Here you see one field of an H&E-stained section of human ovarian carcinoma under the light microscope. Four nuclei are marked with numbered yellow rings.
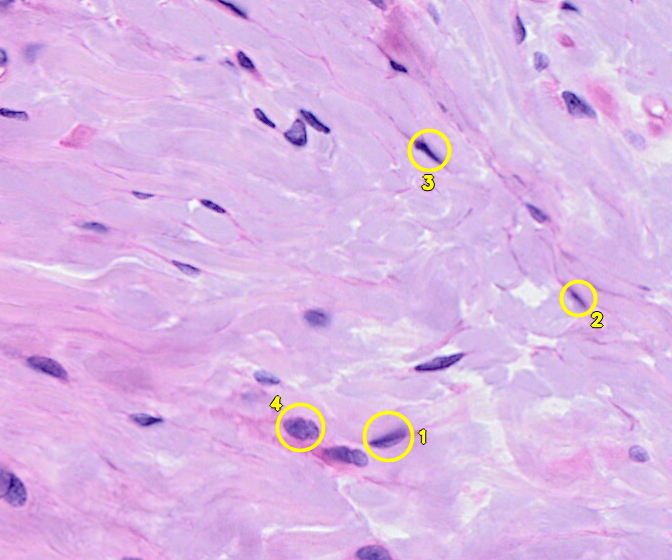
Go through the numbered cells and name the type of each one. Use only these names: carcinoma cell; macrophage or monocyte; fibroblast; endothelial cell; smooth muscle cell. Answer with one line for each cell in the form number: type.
1: fibroblast
2: fibroblast
3: fibroblast
4: smooth muscle cell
